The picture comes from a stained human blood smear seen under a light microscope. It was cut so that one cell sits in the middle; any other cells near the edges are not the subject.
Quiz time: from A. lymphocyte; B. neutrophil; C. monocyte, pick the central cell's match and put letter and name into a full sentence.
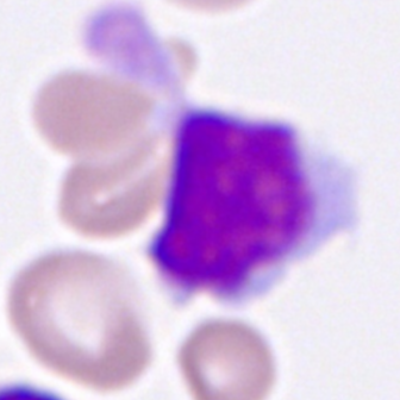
Of the options given, A is correct, the central cell being a lymphocyte.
